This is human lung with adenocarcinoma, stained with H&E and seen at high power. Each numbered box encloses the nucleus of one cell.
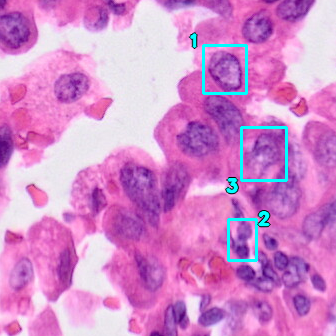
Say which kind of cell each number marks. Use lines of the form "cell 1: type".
cell 1: carcinoma cell
cell 2: lymphocyte
cell 3: carcinoma cell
